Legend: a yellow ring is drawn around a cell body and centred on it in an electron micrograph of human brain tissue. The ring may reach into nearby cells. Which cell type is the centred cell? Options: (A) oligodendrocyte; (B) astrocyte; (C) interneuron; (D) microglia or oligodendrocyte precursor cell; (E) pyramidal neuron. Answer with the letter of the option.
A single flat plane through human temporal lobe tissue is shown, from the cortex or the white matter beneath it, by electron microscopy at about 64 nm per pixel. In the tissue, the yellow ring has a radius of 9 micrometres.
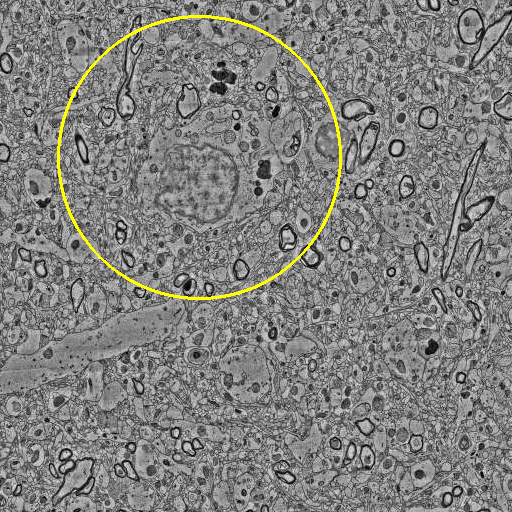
C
